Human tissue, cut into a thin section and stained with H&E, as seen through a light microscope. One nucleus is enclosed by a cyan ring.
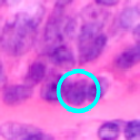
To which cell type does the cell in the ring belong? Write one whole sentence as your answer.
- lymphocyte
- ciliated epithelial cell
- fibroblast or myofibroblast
The cell in the ring appears to be a ciliated epithelial cell.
